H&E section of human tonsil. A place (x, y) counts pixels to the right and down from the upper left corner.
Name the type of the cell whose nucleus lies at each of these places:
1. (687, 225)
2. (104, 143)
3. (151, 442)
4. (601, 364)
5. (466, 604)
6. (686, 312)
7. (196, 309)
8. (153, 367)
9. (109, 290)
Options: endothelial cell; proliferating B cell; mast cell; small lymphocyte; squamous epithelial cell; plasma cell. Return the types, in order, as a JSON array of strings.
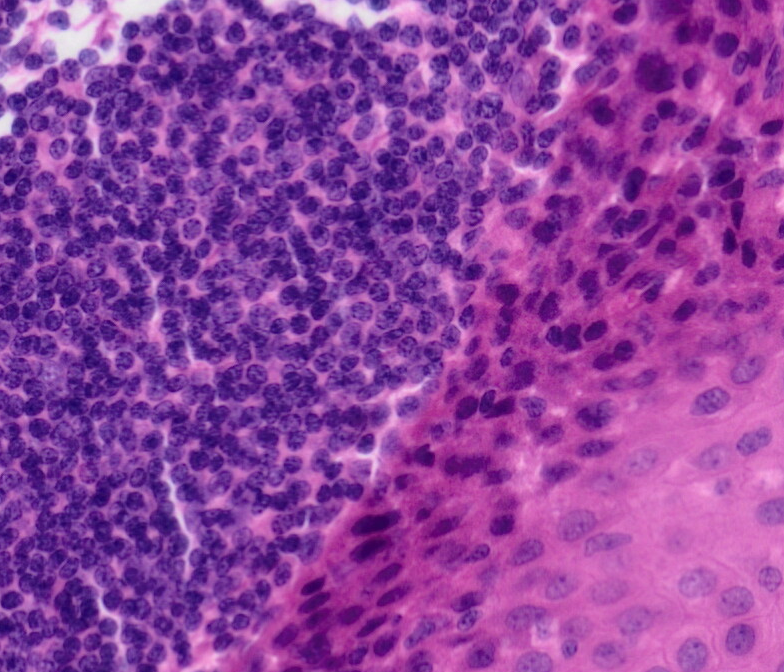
["squamous epithelial cell", "small lymphocyte", "small lymphocyte", "squamous epithelial cell", "squamous epithelial cell", "squamous epithelial cell", "small lymphocyte", "small lymphocyte", "small lymphocyte"]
